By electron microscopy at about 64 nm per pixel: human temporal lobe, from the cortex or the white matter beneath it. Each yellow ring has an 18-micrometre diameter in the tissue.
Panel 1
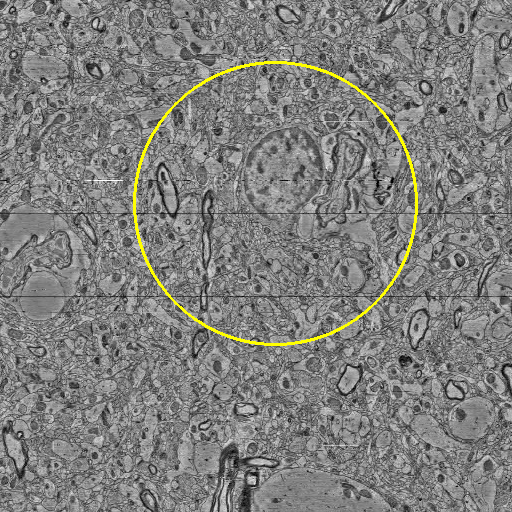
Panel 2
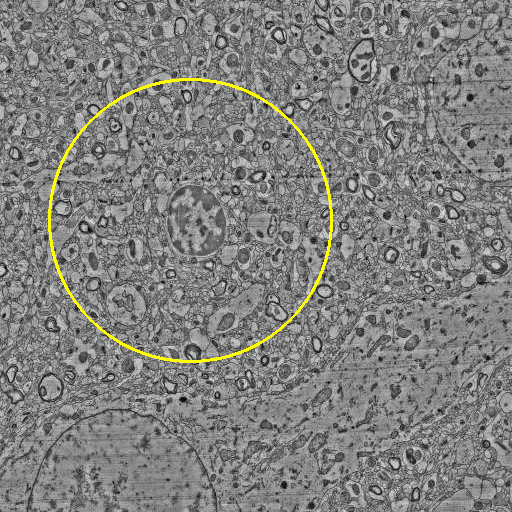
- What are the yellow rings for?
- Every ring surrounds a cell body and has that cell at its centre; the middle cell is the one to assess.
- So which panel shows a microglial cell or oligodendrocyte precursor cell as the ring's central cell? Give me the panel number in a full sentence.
The panel whose ring is centred on the cell in question is panel 2.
